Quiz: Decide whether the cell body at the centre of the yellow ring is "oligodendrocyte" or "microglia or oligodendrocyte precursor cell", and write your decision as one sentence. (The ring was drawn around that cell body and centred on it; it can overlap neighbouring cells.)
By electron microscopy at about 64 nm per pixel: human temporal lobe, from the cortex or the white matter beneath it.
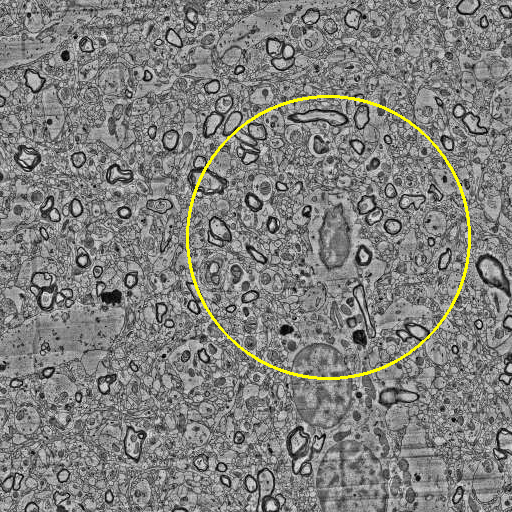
The cell the ring is centred on is a microglial cell or oligodendrocyte precursor cell.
